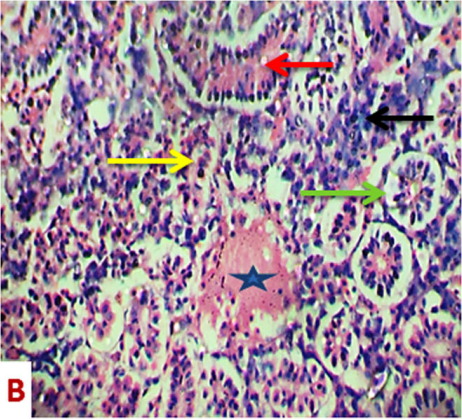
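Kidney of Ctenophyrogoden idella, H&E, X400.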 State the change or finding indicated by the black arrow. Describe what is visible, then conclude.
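A dense cluster of small, dark-blue nuclei. The cluster lies in the interstitium between tubules. The answer: aggregation of inflammatory cells.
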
